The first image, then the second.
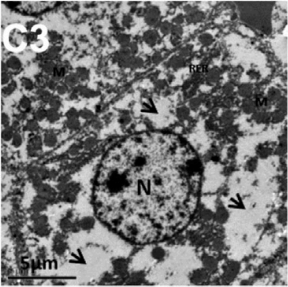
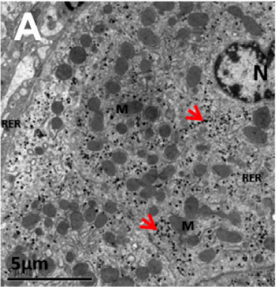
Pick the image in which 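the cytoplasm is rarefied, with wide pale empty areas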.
the first image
